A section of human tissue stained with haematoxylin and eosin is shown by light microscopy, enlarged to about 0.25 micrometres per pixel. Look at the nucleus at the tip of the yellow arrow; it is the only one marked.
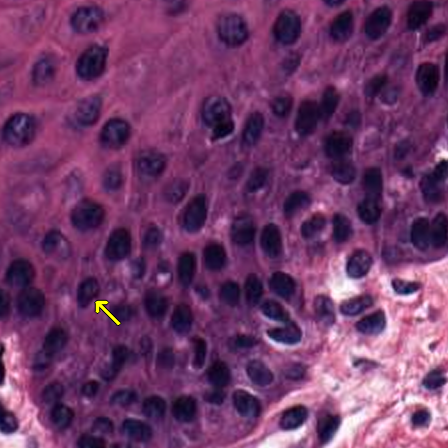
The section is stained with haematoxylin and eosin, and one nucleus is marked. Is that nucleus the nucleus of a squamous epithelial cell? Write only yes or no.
yes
